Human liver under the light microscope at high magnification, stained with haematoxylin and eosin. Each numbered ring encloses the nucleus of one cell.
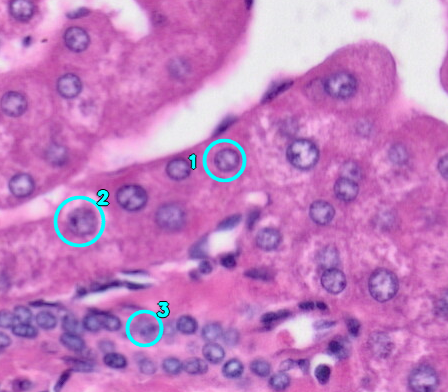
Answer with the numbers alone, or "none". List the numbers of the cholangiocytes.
3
